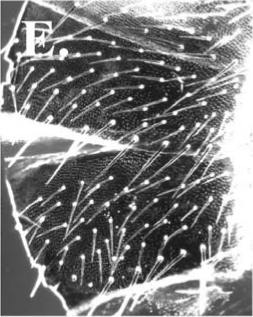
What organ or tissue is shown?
Tergites.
